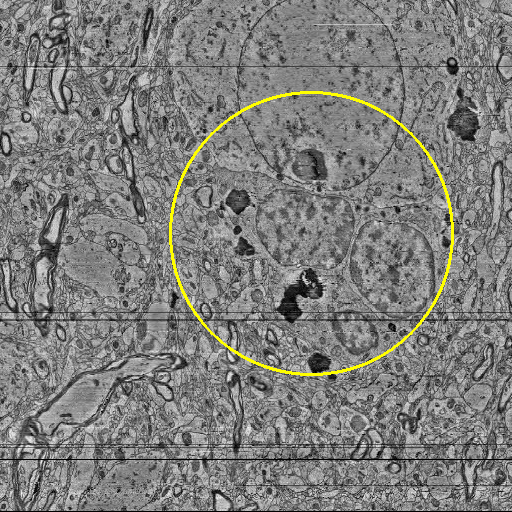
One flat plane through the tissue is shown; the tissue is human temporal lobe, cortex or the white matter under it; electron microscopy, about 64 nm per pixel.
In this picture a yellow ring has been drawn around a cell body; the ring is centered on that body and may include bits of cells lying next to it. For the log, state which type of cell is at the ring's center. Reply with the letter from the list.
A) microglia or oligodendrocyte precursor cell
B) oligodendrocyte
B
